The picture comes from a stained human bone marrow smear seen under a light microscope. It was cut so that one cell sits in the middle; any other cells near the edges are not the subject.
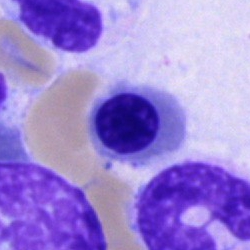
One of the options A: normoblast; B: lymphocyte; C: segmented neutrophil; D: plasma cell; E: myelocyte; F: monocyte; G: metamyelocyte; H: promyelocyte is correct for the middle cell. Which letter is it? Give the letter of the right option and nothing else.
A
